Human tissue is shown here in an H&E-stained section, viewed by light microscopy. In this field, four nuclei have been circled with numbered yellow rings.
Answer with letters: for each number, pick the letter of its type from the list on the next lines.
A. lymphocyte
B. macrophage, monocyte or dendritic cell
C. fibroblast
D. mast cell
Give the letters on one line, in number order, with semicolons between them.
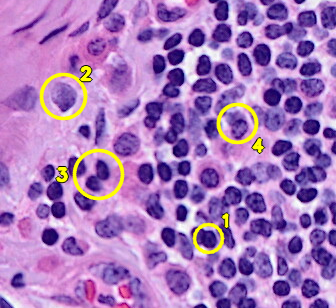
A; C; A; A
